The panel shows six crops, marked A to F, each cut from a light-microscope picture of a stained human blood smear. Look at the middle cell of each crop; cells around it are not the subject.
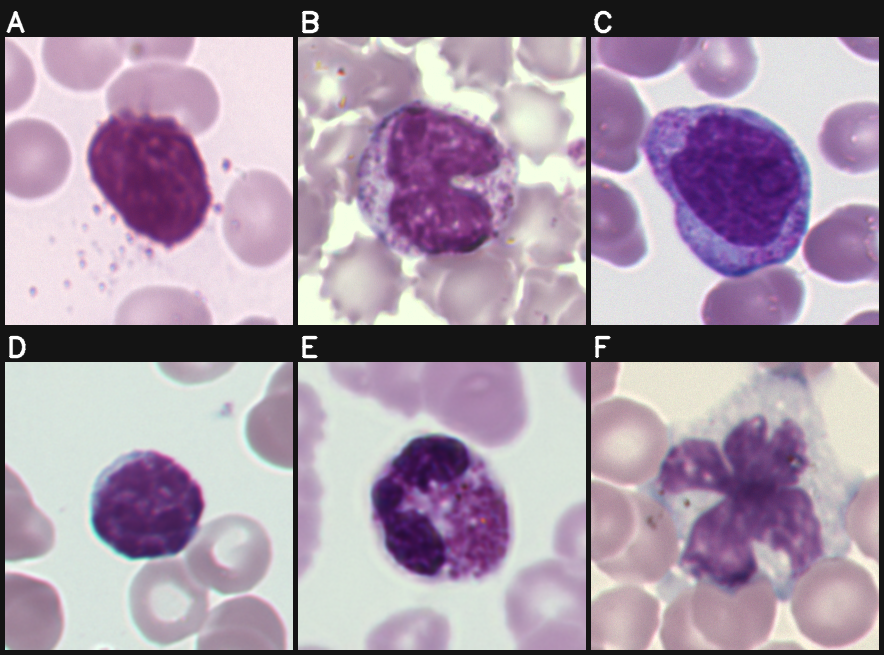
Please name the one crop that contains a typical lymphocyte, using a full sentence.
The one crop in the set with a typical lymphocyte is crop D.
